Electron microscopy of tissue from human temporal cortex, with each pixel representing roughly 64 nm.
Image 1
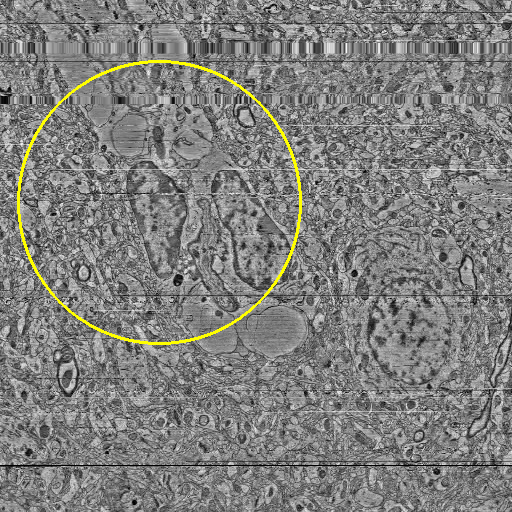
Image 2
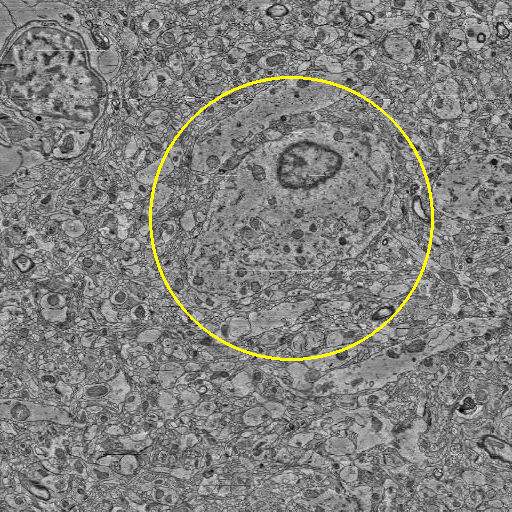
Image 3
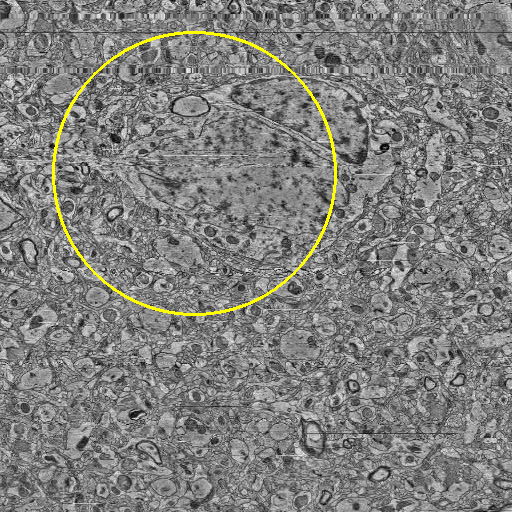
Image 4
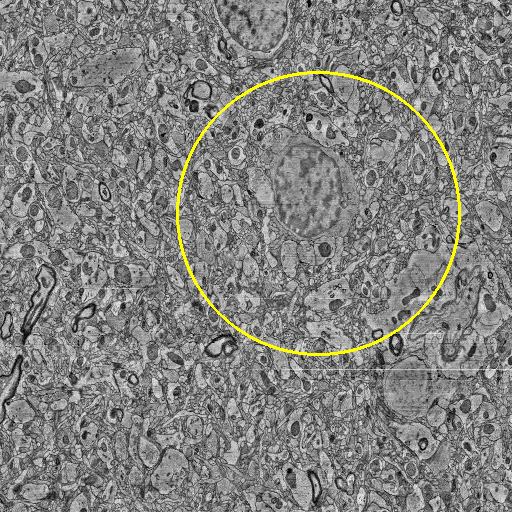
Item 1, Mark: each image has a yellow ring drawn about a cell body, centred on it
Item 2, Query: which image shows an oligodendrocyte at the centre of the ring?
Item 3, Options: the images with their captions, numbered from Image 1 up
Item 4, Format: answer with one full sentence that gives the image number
My answer is image 4, where the cell at the ring's centre fits.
